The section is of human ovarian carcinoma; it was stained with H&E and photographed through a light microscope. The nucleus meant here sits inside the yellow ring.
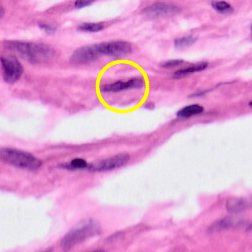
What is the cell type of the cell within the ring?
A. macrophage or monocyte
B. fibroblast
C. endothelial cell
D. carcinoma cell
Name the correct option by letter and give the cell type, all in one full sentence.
Option B wins here: the cell within the ring is a fibroblast.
